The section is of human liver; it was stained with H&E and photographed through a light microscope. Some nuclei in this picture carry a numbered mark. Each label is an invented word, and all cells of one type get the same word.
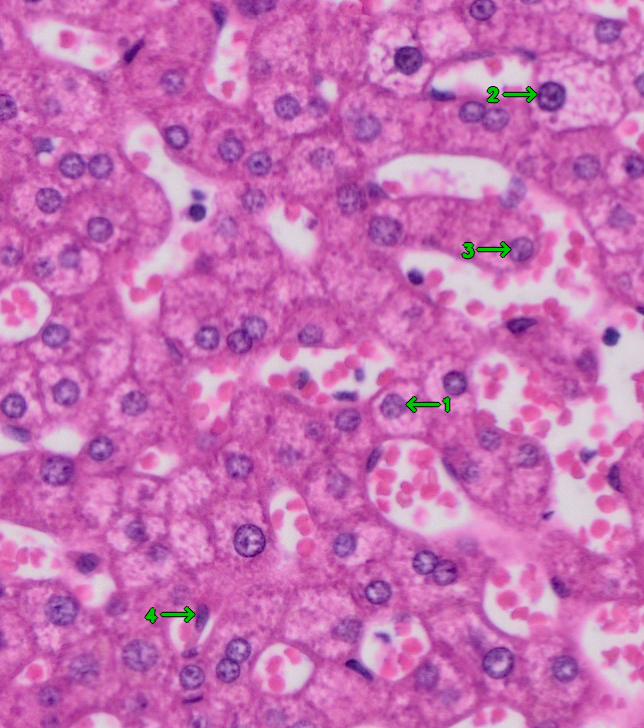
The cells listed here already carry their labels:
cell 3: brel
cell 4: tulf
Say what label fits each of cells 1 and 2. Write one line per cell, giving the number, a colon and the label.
1: brel
2: brel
